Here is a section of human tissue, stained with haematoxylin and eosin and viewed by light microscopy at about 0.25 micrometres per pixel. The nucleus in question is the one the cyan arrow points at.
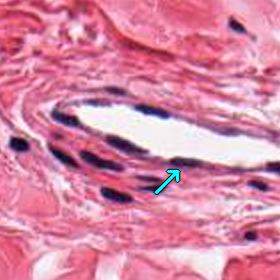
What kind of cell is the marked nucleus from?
endothelial cell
